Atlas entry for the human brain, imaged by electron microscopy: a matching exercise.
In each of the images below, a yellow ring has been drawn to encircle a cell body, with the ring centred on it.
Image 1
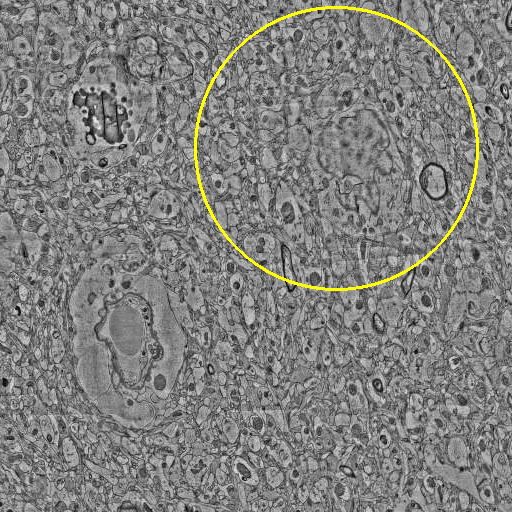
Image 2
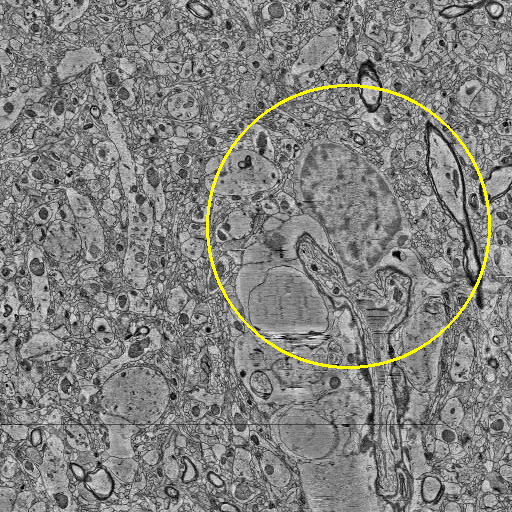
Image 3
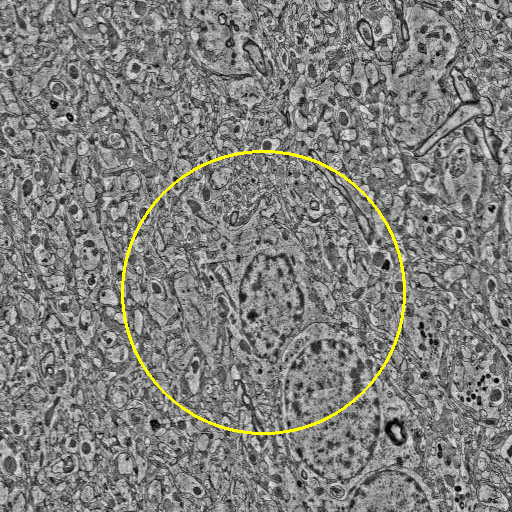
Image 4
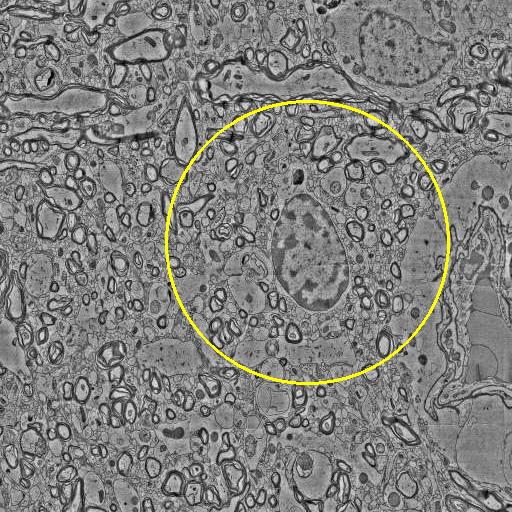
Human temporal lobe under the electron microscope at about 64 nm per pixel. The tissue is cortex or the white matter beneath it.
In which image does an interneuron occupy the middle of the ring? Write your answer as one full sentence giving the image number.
In image 1, the ring is centred on the cell in question.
